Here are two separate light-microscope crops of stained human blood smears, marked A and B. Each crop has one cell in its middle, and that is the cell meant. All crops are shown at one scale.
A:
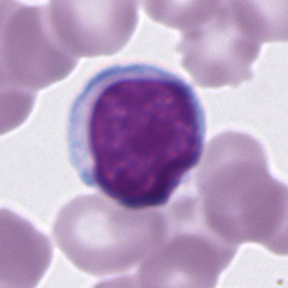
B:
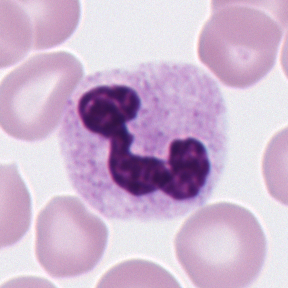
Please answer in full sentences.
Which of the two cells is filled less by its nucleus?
In crop B the nucleus takes up the smaller part of its cell.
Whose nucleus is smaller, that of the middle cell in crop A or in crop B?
Smaller is the nucleus in crop B, and the other is about 1.5 times as large in area.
